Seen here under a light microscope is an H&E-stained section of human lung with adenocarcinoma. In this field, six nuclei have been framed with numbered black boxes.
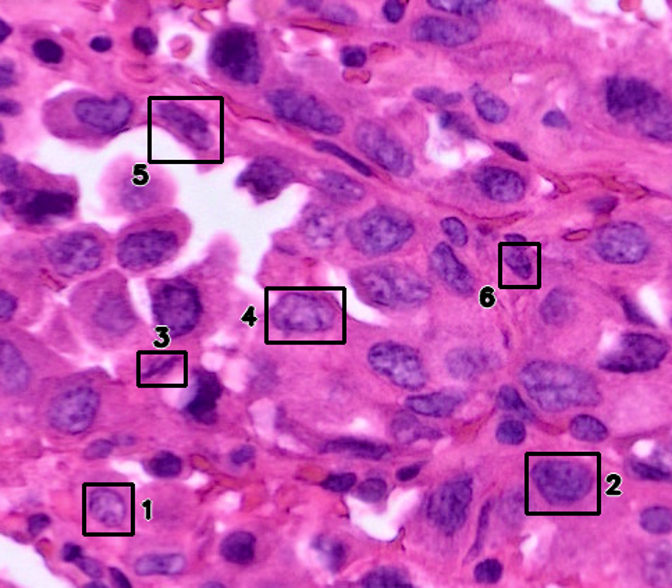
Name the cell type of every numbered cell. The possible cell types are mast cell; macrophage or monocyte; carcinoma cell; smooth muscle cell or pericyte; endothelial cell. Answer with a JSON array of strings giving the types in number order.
["macrophage or monocyte", "carcinoma cell", "carcinoma cell", "carcinoma cell", "carcinoma cell", "macrophage or monocyte"]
